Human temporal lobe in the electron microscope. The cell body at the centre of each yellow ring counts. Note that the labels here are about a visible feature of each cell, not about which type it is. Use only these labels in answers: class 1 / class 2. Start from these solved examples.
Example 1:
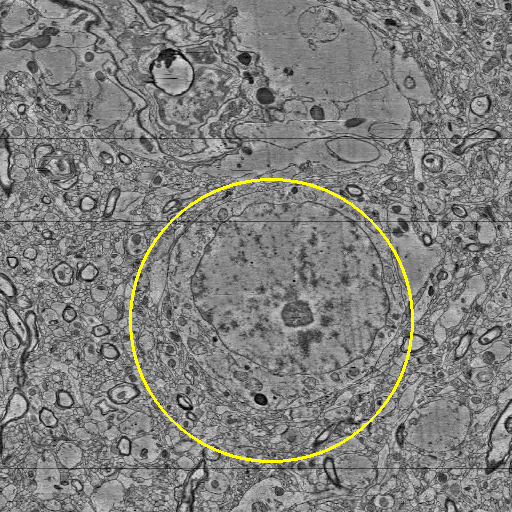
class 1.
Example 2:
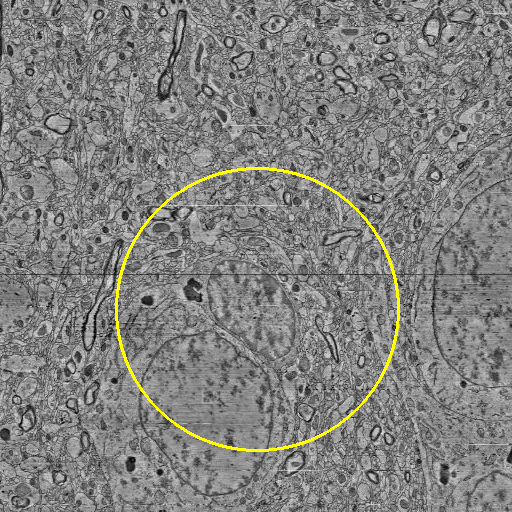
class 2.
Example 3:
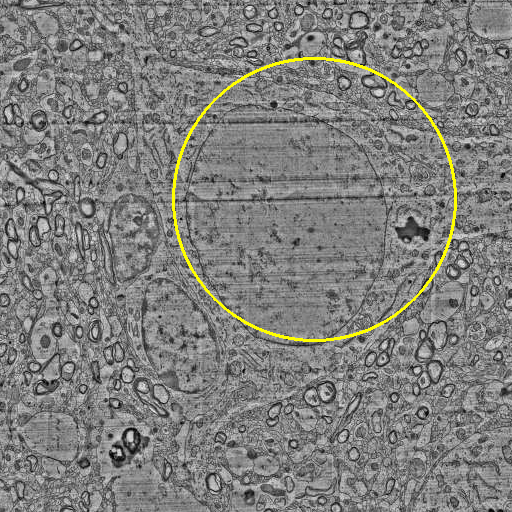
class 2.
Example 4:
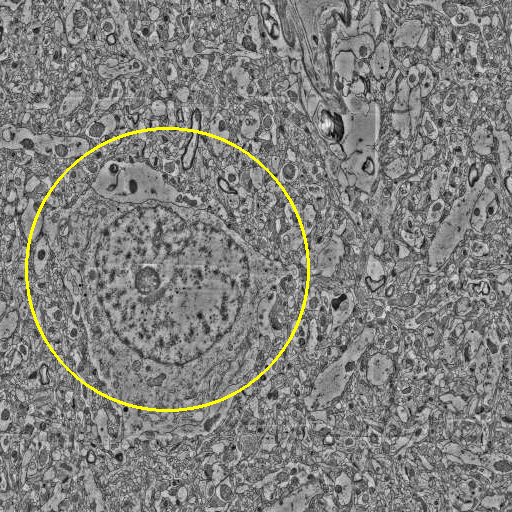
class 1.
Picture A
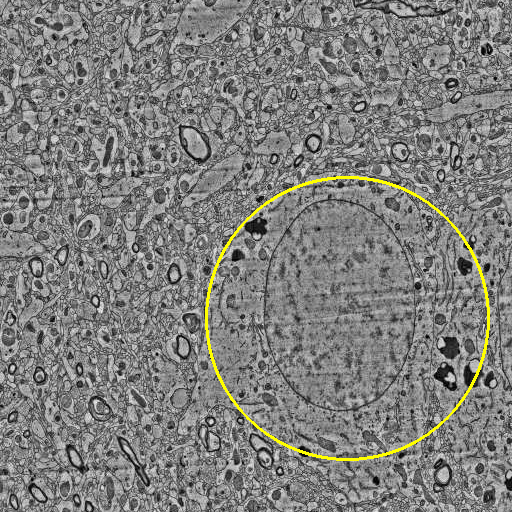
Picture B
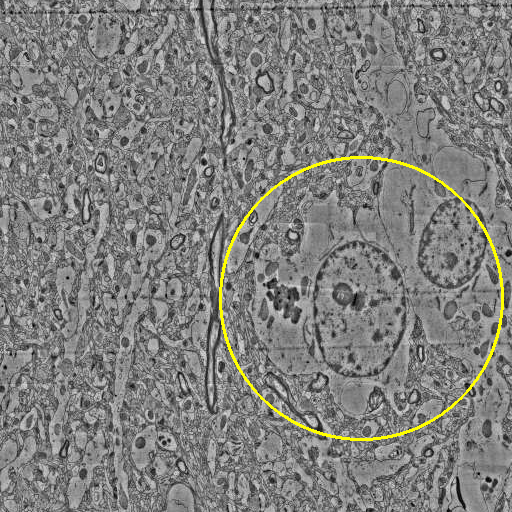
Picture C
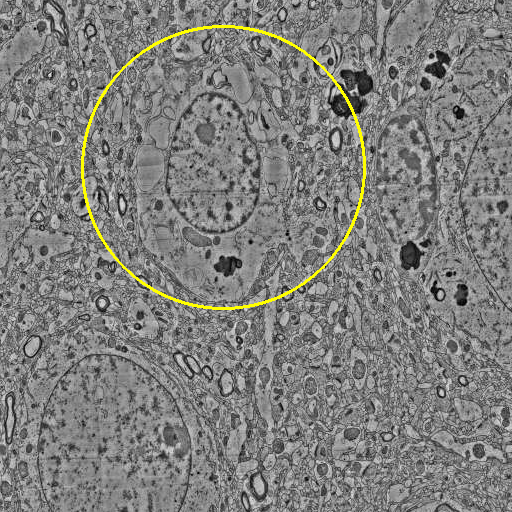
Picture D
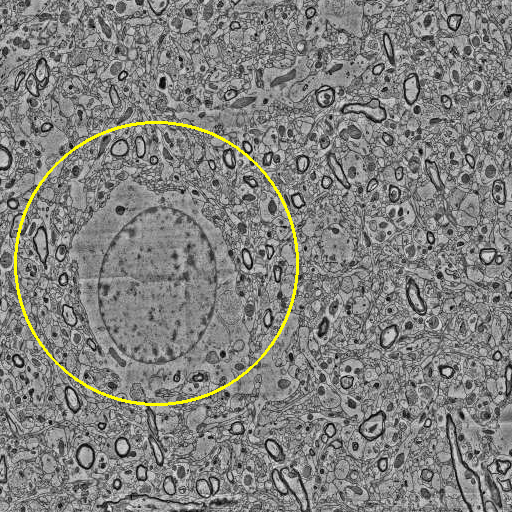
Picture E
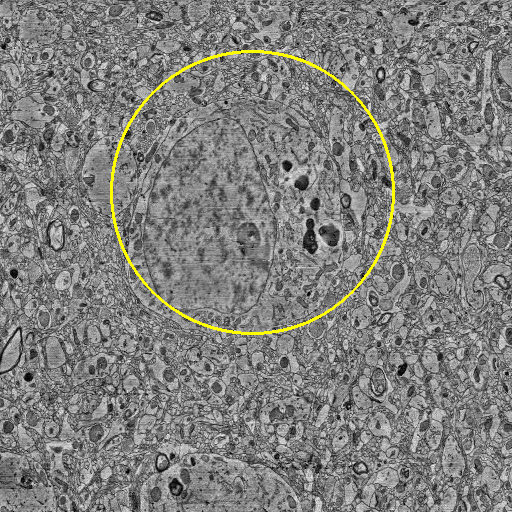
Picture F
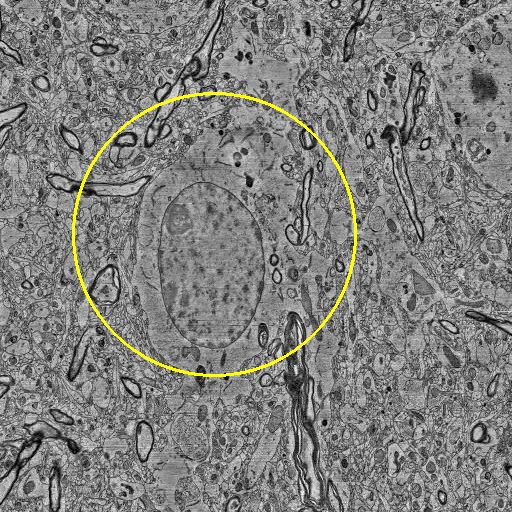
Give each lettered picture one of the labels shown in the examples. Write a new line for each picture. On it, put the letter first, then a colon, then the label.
A: class 2.
B: class 1.
C: class 1.
D: class 2.
E: class 1.
F: class 1.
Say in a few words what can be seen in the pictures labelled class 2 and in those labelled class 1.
class 2: no nucleolus seen; class 1: nucleolus seen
